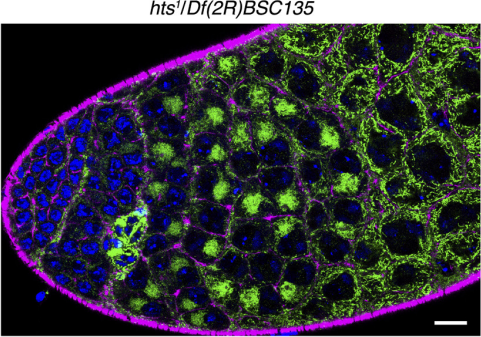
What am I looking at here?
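This is the apical tip of a fruit fly testis, bounded by a thin magenta sheath along its curved edge. Near the tip lie many small cells with closely packed blue nuclei and little green. Further from the tip the cells grow larger and are grouped in clusters separated by thin magenta borders, and many of them contain a single compact round green cluster beside the nucleus. Toward the right, in the largest cells, the green is spread as a fine network through the cytoplasm rather than gathered into one ball. The overall layout of the tip, with cells enlarging in order away from the apex, looks regular.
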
